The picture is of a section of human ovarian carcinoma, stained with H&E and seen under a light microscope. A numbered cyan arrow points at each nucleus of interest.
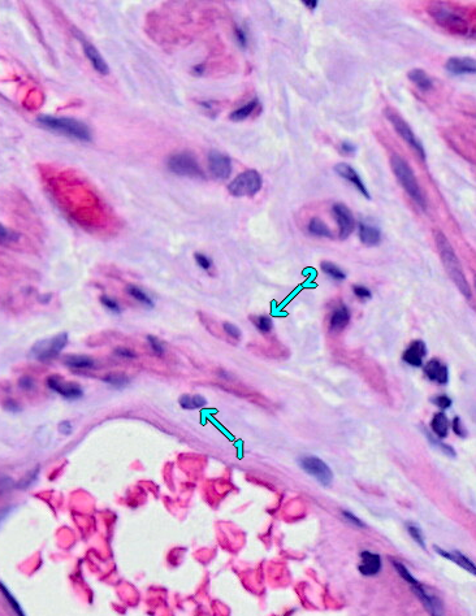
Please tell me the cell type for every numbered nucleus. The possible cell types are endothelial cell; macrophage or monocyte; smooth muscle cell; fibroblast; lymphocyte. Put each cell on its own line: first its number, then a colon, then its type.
1: lymphocyte
2: smooth muscle cell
